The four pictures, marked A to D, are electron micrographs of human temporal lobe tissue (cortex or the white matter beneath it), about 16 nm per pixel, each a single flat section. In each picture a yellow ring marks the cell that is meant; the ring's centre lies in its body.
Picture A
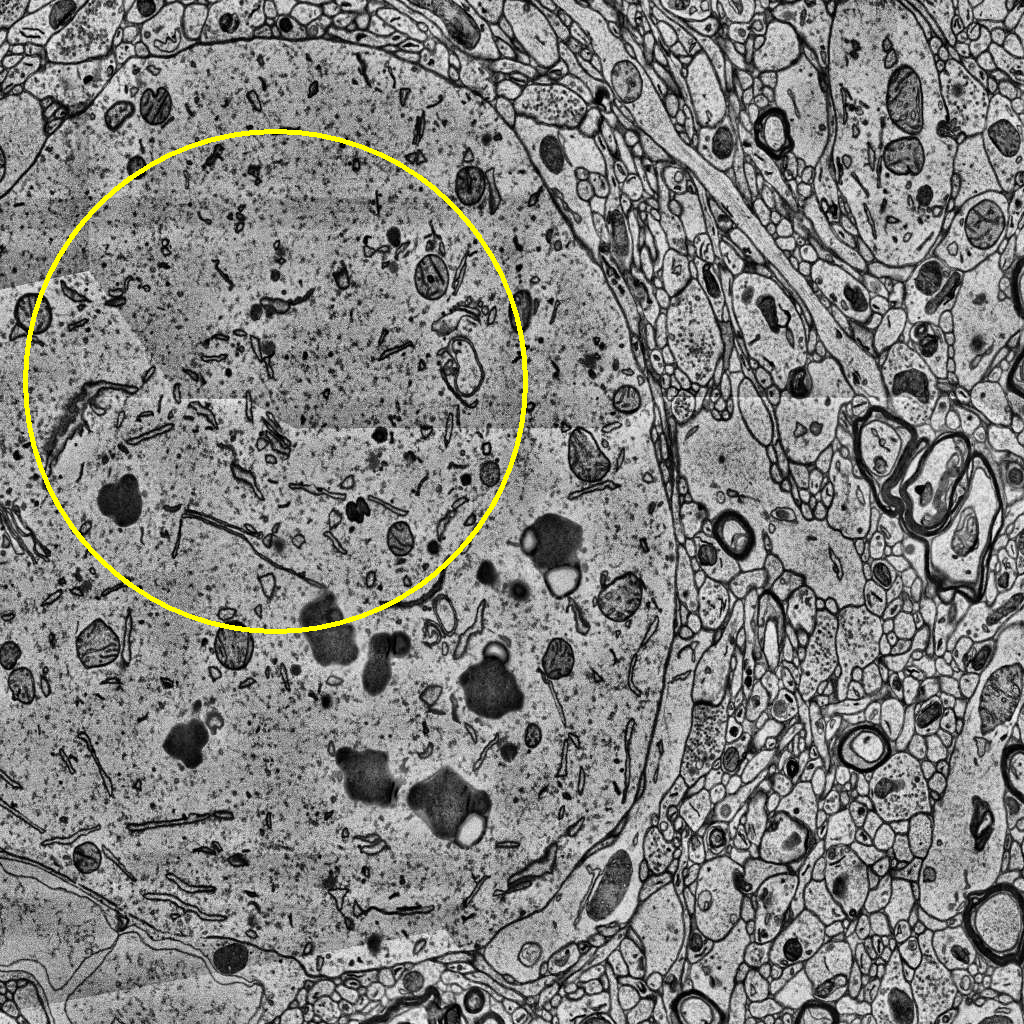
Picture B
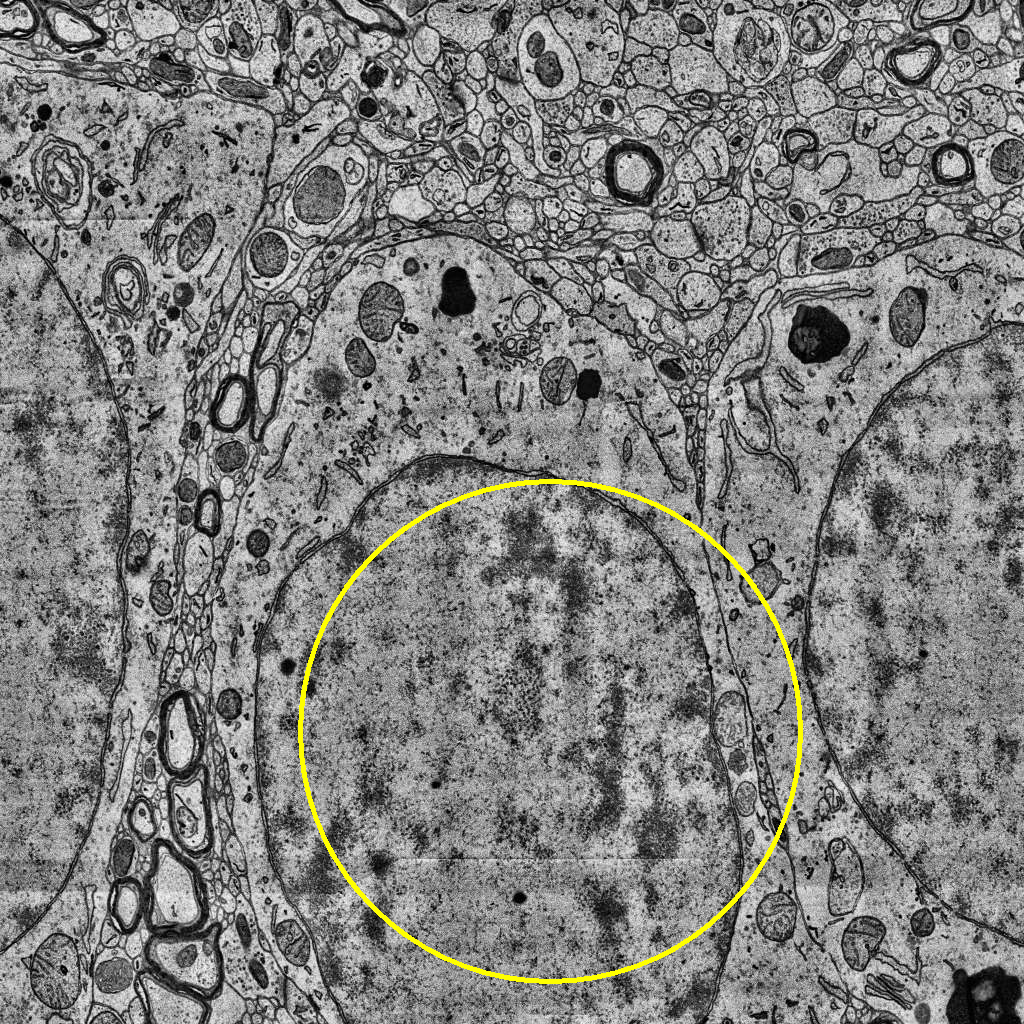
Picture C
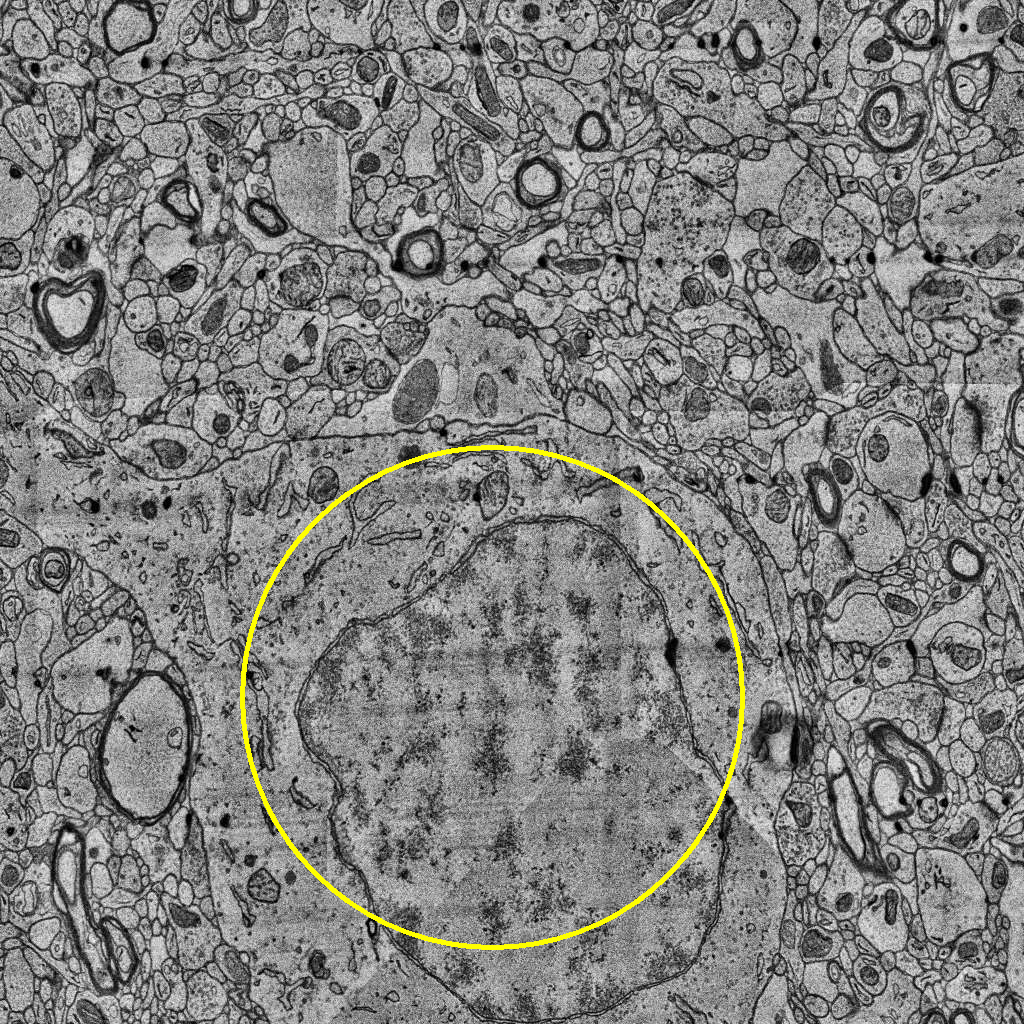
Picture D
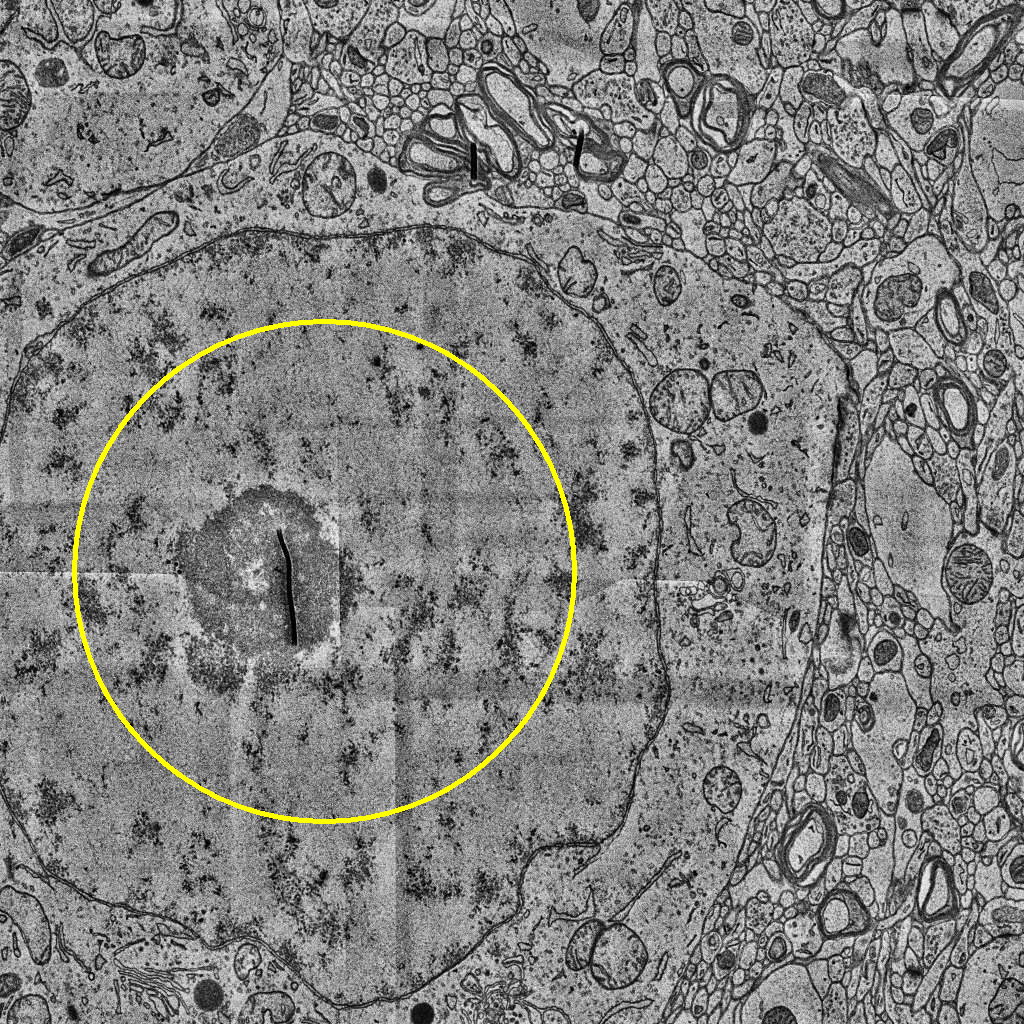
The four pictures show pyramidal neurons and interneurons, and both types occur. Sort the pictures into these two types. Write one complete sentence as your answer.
Pictures A, C and D show pyramidal neurons, while picture B shows an interneuron.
